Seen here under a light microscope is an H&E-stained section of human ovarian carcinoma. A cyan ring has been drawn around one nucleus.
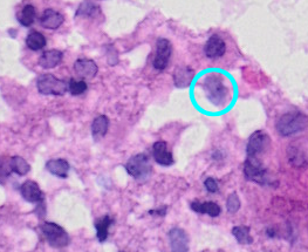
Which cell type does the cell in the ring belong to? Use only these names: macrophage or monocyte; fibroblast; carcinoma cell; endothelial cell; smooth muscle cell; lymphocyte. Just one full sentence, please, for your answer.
At the level of cell identity, the cell in the ring is a macrophage or monocyte.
